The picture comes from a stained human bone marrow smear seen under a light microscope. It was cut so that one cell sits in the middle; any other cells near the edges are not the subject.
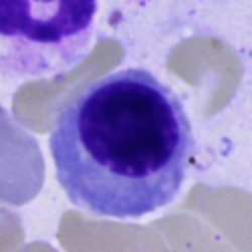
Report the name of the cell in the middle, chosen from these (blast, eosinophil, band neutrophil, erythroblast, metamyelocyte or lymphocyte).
erythroblast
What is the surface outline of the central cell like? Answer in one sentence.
There are no projections here; the outline is simply smooth.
